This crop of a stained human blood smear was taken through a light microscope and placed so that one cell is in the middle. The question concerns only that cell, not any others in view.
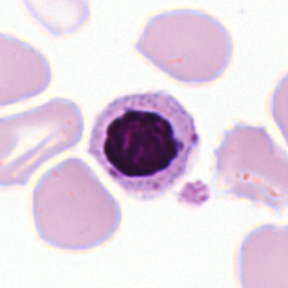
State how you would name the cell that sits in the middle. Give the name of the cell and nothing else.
normoblast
